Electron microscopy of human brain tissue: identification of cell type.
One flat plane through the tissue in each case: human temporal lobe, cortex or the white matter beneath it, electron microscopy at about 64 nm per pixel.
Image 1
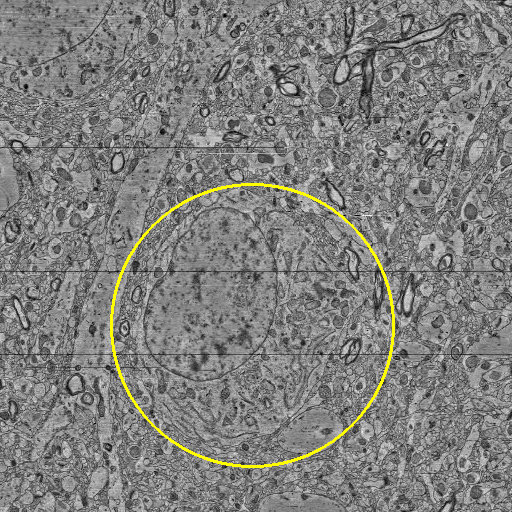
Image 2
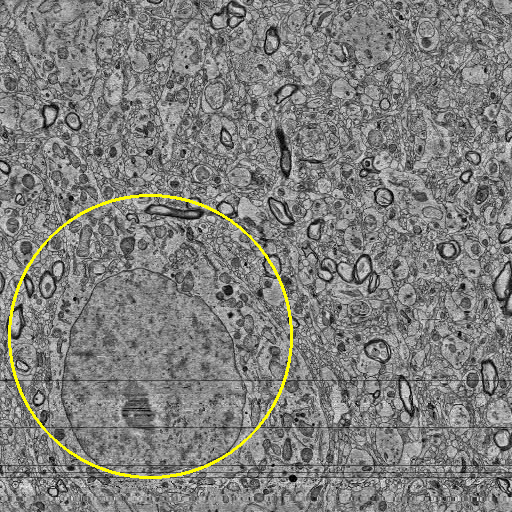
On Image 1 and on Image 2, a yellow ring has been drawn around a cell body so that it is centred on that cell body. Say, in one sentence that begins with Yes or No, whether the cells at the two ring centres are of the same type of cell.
Yes, both cells are the same type of cell.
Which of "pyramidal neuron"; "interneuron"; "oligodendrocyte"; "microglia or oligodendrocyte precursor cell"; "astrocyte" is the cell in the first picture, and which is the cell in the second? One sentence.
Each one of the two ringed cells is an interneuron.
